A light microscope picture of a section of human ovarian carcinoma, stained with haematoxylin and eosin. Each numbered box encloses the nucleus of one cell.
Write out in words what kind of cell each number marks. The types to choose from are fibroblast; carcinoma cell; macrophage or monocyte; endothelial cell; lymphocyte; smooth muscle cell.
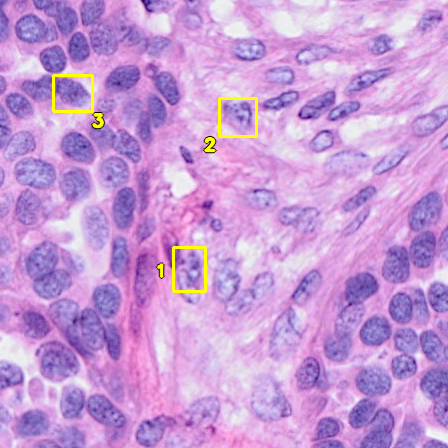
Cells 1 and 2 are fibroblasts. Cell 3 is a carcinoma cell.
